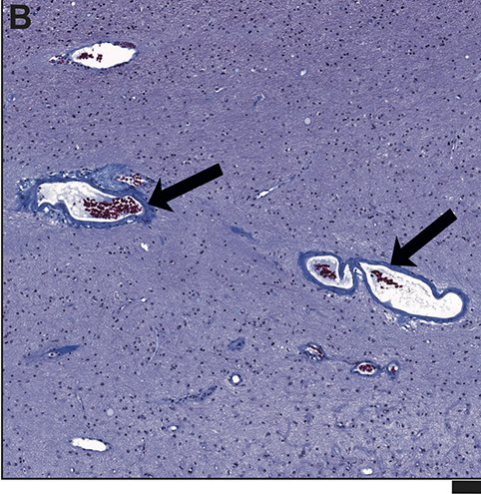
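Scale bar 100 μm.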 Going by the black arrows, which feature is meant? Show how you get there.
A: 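Open oval lumina with clusters of red-brown erythrocytes inside. Each lumen is rimmed by a thin blue-stained wall. Surrounding tissue is a pale purple neuropil with scattered dark small nuclei. That points to this answer: vessels.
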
